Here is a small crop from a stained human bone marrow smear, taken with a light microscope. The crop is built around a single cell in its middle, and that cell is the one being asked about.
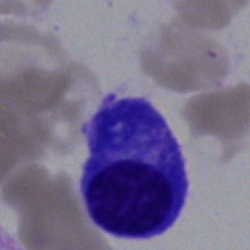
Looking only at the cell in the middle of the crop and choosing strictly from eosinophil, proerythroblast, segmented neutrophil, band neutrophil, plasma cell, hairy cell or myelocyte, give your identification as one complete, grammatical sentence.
Centred in the crop is a plasma cell.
